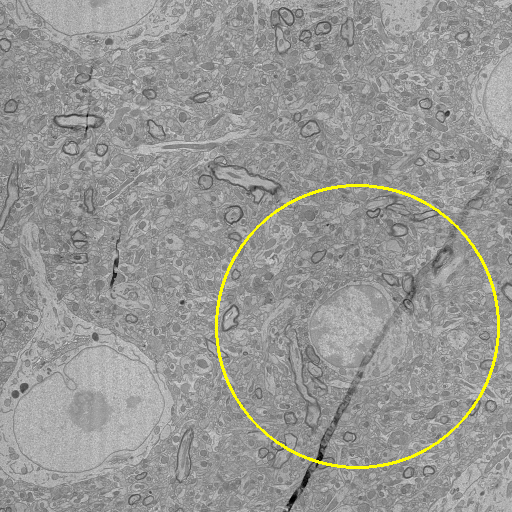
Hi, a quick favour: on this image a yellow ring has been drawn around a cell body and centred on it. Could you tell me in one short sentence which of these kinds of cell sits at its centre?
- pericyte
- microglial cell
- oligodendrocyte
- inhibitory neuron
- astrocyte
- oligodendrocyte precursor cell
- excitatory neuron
The ring is centred on an oligodendrocyte.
